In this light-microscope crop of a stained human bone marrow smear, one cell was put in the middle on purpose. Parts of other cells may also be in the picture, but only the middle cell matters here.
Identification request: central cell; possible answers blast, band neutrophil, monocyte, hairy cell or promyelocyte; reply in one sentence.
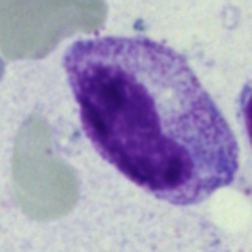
The crop's centre is taken up by a band neutrophil.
